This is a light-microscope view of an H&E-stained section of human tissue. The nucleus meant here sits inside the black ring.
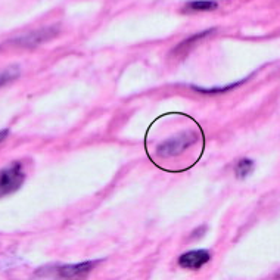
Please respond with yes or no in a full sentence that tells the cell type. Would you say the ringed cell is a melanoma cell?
No, a melanoma cell is not what the ringed cell is; it is a macrophage or monocyte.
